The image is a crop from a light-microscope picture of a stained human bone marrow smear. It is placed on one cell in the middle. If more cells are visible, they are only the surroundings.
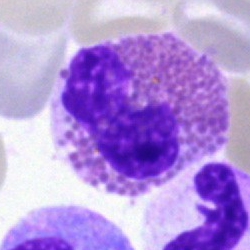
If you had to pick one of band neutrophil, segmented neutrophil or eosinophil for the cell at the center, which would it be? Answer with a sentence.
In this smear crop, the middle cell is an eosinophil.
